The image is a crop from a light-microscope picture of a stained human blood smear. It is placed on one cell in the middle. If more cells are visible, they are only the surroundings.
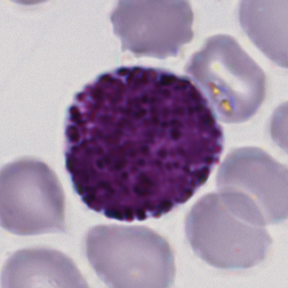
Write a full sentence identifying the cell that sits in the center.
In the central position of this crop, the cell is a basophil.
